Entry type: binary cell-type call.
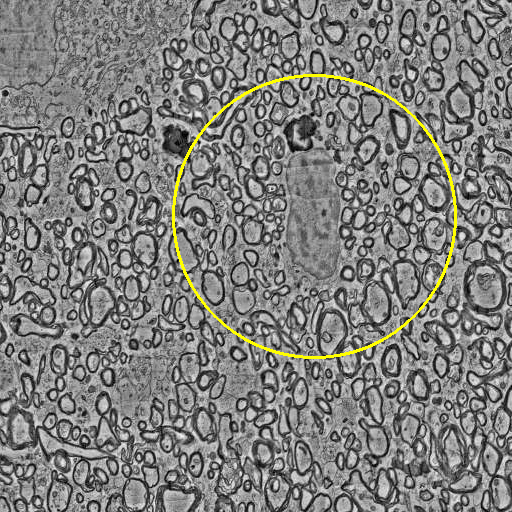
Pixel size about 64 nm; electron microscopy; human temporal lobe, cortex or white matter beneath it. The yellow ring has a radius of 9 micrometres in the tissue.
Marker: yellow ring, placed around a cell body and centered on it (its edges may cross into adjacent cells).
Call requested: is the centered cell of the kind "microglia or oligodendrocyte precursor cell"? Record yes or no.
no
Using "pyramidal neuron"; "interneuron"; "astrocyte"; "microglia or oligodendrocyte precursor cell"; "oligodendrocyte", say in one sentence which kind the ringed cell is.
In this picture, the ring is centred on an oligodendrocyte.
